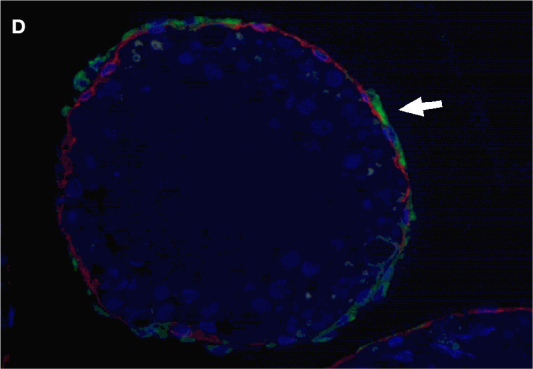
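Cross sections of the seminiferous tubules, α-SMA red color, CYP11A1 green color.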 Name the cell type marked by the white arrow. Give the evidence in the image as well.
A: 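The arrow points to elongated green cells lying along the outer surface of the tubule. The green cells sit just outside the red rim. The answer: Leydig cells.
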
